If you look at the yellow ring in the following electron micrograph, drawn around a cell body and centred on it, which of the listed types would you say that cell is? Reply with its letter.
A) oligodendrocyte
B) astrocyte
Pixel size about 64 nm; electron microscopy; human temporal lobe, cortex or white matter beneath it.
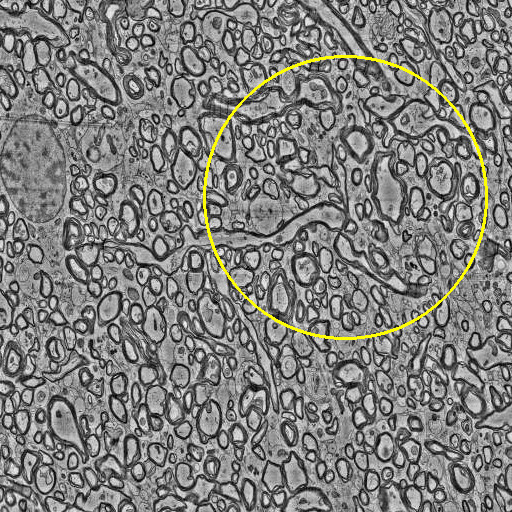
B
